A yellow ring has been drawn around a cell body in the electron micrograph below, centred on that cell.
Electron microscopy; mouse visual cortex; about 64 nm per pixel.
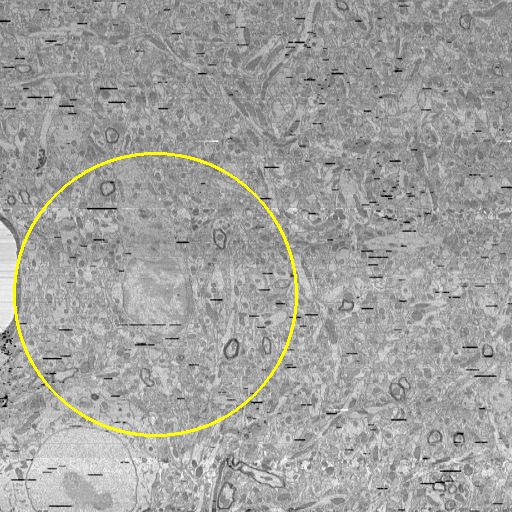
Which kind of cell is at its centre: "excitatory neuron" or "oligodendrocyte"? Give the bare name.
oligodendrocyte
